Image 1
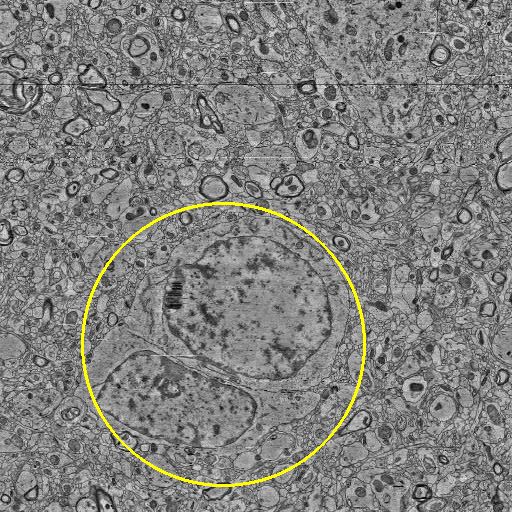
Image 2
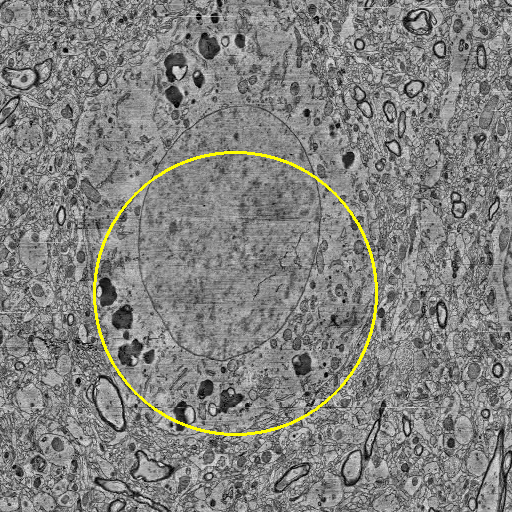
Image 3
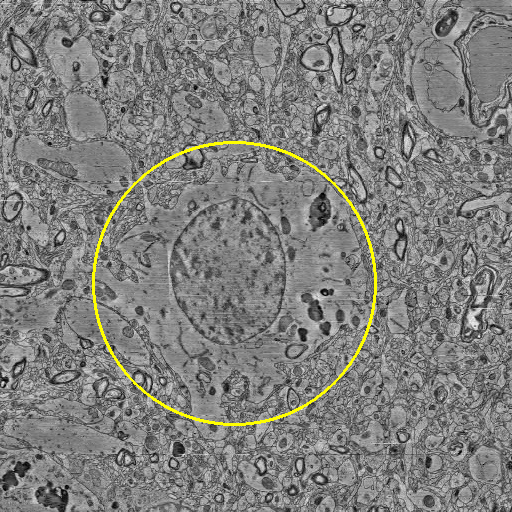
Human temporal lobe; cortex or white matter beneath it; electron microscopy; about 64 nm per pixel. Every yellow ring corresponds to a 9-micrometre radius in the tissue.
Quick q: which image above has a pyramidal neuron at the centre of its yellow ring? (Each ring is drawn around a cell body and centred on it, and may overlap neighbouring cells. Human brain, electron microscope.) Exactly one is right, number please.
2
